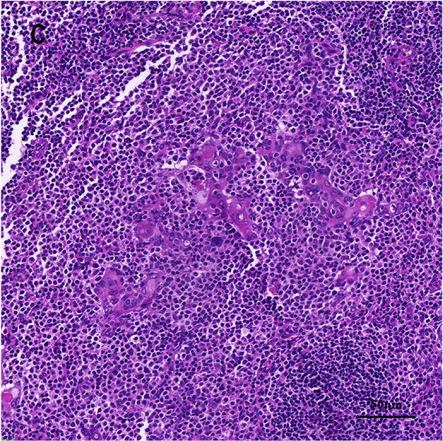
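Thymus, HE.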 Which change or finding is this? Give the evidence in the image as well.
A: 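Lymphoepithelial lesions. A few pink epithelial cell groups sit in the middle of a dense lymphoid infiltrate.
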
